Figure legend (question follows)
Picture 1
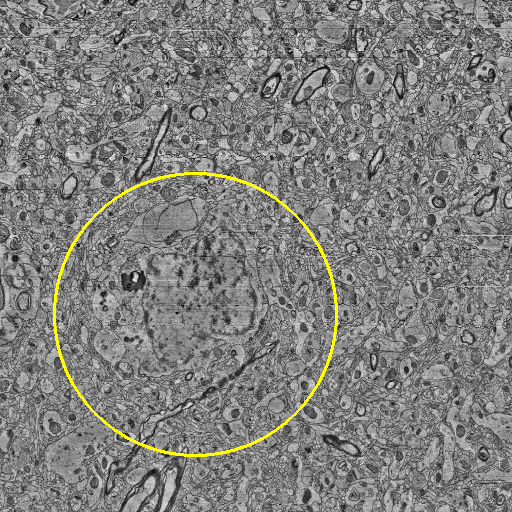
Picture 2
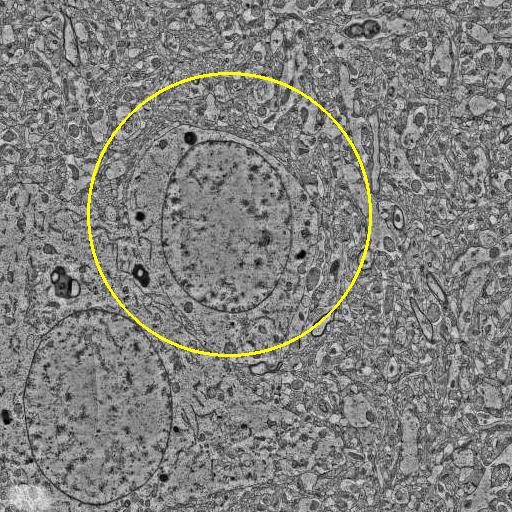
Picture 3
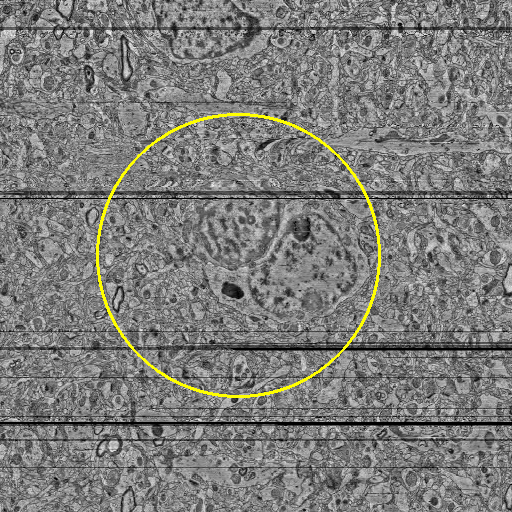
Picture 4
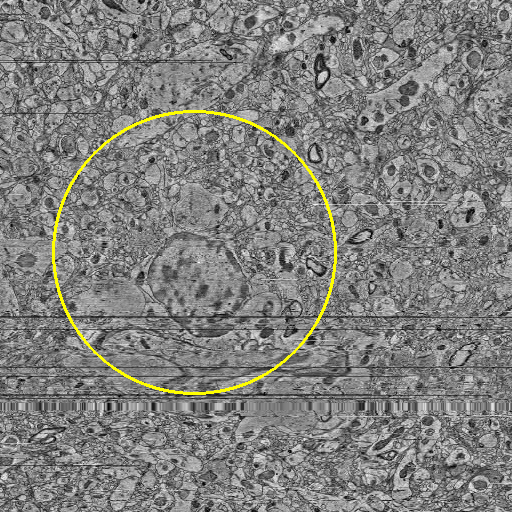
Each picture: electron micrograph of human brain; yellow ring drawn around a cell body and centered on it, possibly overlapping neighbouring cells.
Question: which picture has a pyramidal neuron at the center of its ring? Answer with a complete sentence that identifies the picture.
Picture 2 has it at the center of its ring.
